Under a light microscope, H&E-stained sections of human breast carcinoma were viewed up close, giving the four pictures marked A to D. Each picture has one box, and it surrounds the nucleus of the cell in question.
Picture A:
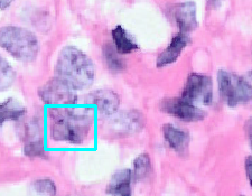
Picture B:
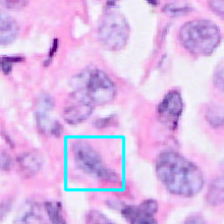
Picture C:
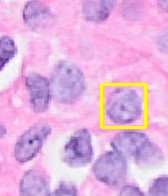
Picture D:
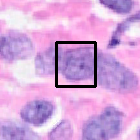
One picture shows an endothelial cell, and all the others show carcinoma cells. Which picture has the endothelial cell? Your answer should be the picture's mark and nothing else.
B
